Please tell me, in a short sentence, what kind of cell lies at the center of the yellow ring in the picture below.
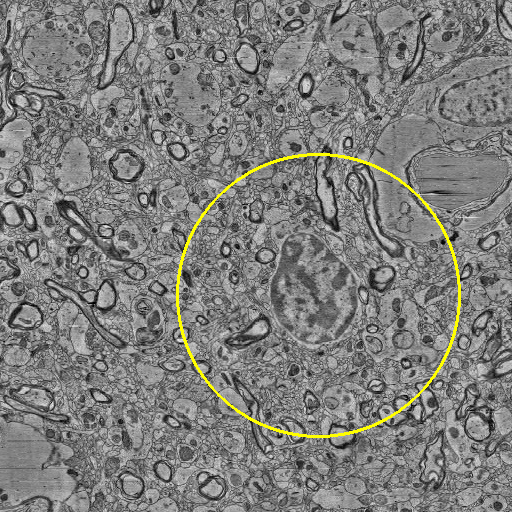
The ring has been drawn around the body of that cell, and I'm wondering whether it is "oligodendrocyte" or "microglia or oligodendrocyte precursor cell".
The cell at the center of the ring is a microglial cell or oligodendrocyte precursor cell.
